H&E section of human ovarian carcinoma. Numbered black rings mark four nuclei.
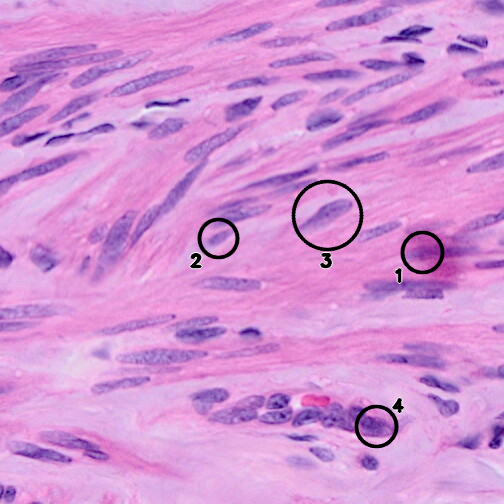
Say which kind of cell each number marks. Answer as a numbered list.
1. smooth muscle cell
2. smooth muscle cell
3. smooth muscle cell
4. endothelial cell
